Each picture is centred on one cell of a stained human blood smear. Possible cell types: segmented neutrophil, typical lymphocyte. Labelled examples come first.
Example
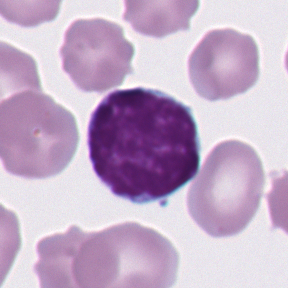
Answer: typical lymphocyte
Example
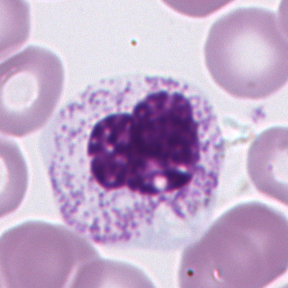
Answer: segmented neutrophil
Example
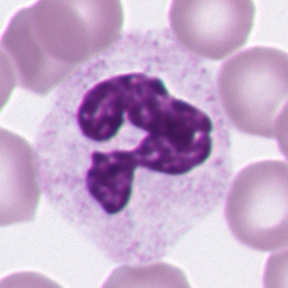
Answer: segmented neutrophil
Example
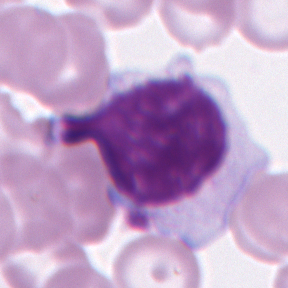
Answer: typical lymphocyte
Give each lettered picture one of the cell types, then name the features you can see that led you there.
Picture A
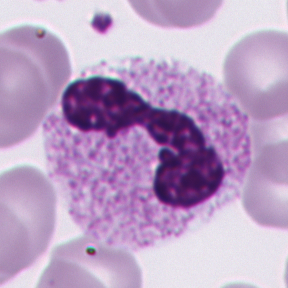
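Answer: segmented neutrophil. The cytoplasm is abundant and pale pinkish-lilac.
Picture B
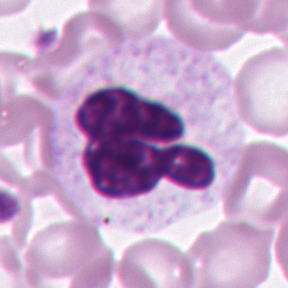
Answer: segmented neutrophil. The cytoplasm is abundant and very pale.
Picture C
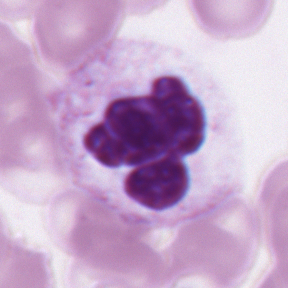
Answer: segmented neutrophil. A wide rim of pale pink cytoplasm surrounds the nucleus.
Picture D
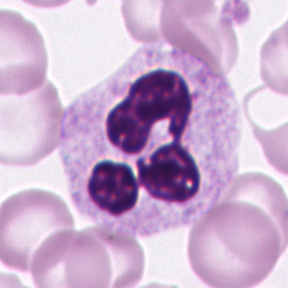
Answer: segmented neutrophil. The cytoplasm is abundant and pale pinkish-lilac.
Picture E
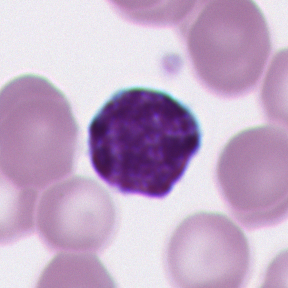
Answer: typical lymphocyte. Cytoplasm is scant, showing only as a thin pale blue fringe along parts of the edge.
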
